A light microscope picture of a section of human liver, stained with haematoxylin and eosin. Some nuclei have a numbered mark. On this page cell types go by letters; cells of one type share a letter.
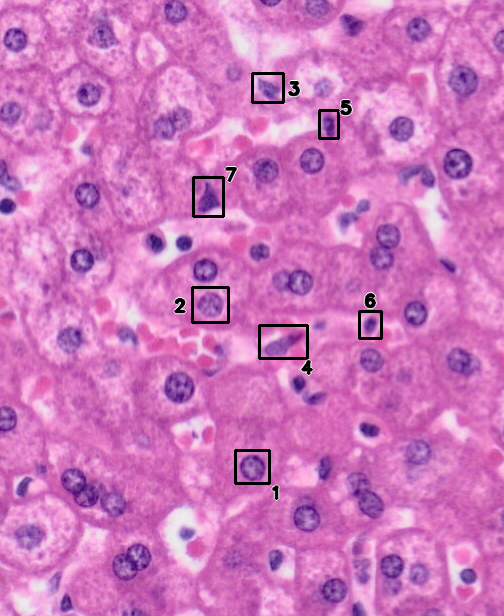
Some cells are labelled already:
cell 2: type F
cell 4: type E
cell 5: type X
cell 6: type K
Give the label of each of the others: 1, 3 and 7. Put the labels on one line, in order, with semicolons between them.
type F; type X; type X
